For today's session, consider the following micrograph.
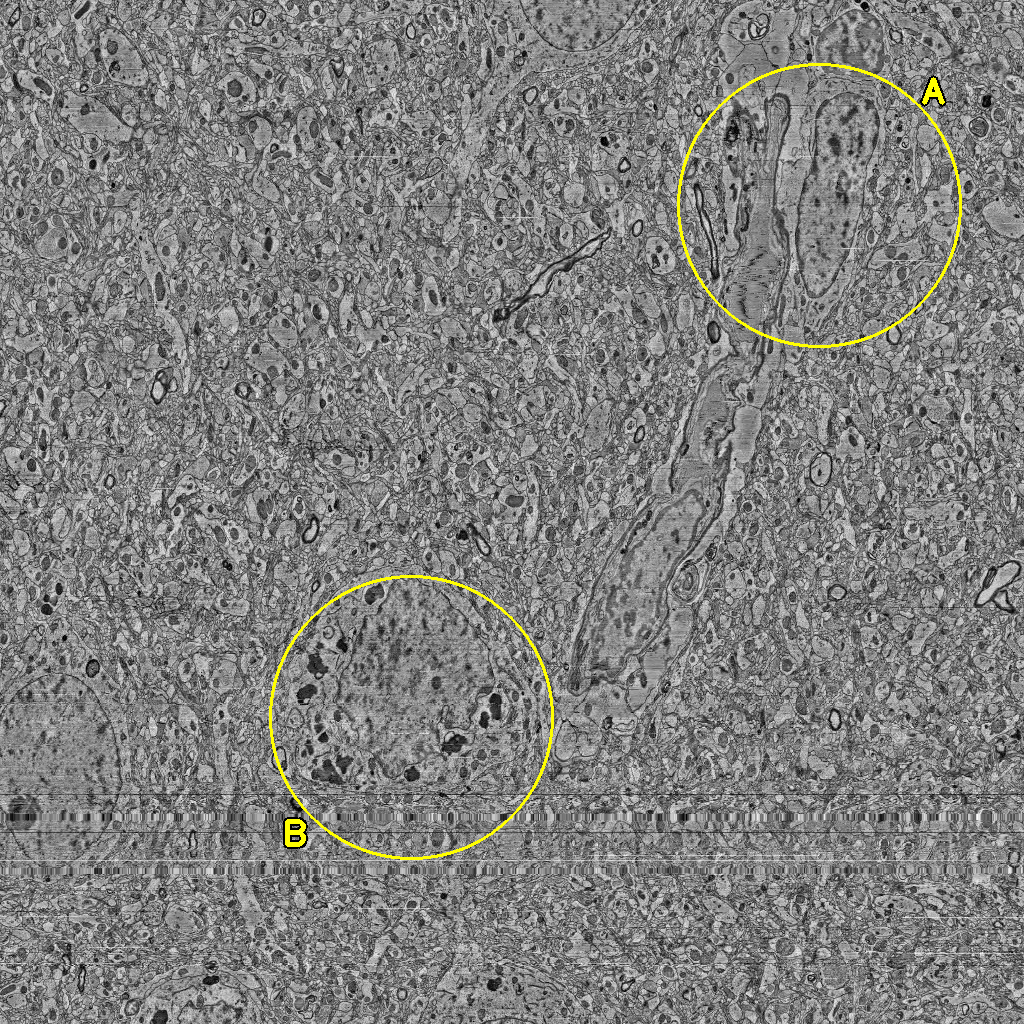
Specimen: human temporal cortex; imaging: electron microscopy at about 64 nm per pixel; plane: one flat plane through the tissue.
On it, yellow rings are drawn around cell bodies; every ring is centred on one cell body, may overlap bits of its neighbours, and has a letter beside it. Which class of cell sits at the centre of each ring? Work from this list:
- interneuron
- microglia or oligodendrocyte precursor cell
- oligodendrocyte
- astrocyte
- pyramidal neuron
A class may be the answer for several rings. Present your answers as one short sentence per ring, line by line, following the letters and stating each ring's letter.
Ring A centres on a microglial cell or oligodendrocyte precursor cell.
Ring B centres on an interneuron.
